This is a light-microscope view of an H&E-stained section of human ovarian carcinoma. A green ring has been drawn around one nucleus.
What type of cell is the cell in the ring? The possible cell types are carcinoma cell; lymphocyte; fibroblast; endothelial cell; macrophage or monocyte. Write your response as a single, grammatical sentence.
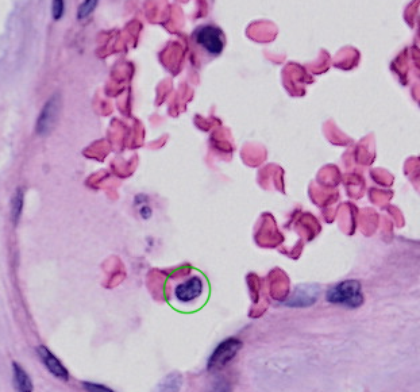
In this field of tissue, the cell in the ring is a lymphocyte.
